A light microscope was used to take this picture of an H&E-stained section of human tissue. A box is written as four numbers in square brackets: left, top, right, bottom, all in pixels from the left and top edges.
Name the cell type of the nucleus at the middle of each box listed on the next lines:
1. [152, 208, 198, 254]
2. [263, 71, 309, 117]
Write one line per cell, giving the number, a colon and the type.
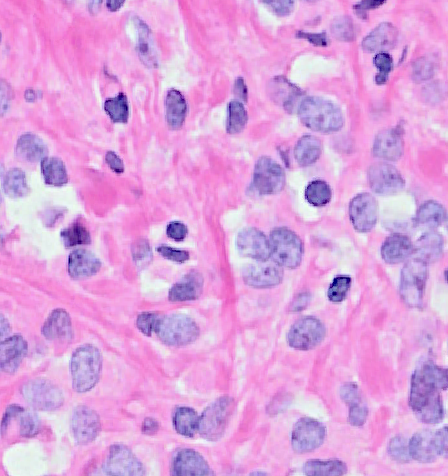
1: lymphocyte
2: carcinoma cell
